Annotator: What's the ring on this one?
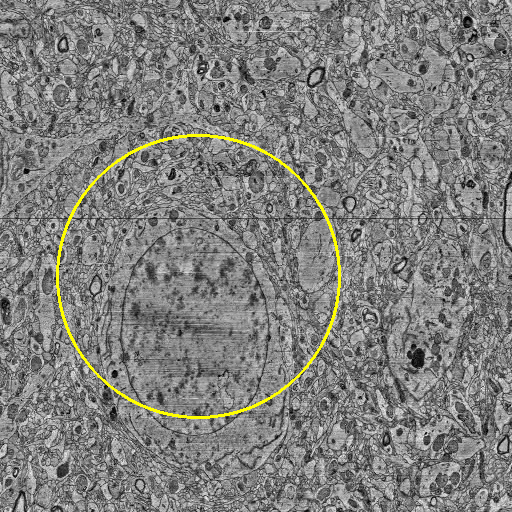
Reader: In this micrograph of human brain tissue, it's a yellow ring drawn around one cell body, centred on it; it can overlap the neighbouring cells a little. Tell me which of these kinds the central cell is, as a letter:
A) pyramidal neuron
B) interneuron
A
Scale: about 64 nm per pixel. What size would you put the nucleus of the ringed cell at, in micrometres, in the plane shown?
About 14 by 10 micrometers for the nucleus, in this plane.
